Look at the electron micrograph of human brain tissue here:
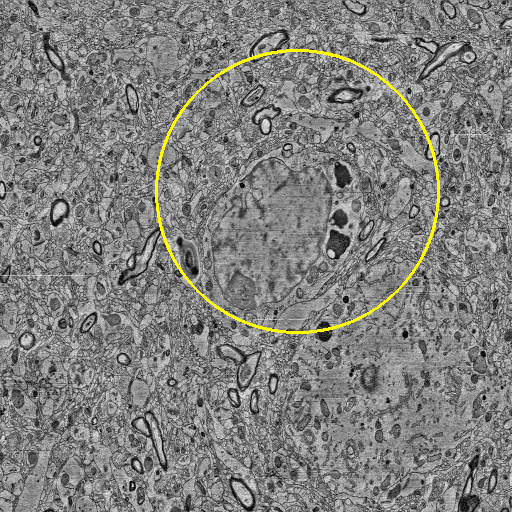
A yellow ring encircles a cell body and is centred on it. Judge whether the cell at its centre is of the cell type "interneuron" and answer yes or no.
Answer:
yes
